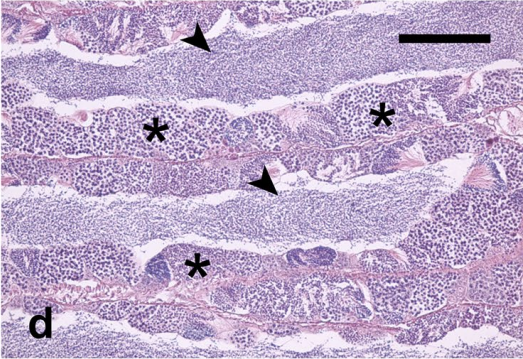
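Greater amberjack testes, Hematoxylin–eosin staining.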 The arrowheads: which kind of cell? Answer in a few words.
Luminal spermatozoa.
